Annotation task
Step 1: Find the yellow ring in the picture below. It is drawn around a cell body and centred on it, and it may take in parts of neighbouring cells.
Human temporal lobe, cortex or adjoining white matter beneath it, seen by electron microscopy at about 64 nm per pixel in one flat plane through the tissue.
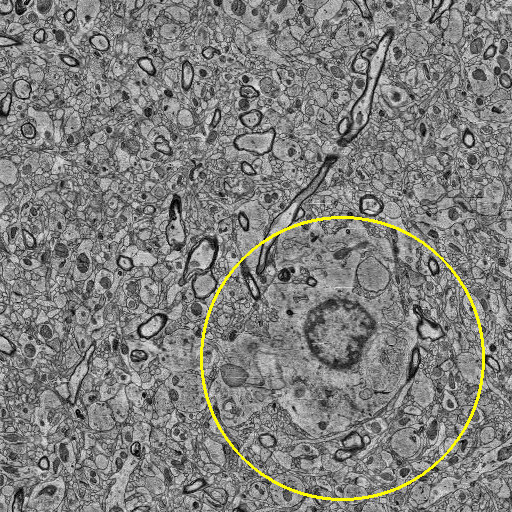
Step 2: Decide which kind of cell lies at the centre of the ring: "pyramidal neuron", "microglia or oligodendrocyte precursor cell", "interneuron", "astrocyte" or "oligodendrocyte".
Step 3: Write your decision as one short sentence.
The kind of cell at the ring's centre is an astrocyte.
